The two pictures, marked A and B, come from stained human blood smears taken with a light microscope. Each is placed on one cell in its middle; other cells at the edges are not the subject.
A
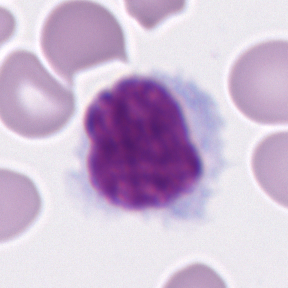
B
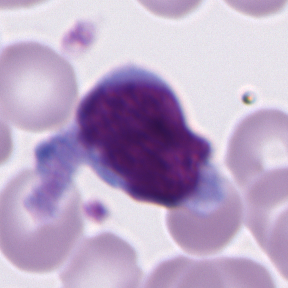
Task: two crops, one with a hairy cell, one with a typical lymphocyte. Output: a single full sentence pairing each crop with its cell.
The designated cell in crop A is a hairy cell, and the designated cell in crop B is a typical lymphocyte.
